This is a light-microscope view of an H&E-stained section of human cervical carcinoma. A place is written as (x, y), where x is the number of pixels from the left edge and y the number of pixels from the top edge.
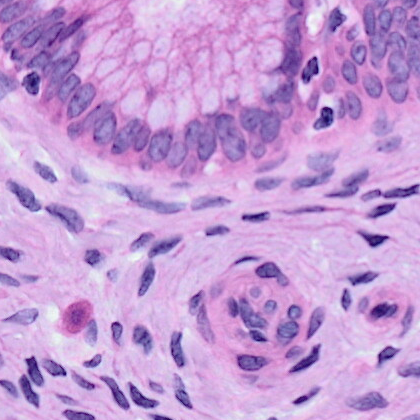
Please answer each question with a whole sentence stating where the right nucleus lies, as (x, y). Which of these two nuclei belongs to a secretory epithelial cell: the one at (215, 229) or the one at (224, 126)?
The nucleus found at (224, 126) belongs to a secretory epithelial cell.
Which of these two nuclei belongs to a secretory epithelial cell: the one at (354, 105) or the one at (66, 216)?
The nucleus of a secretory epithelial cell is the one at (354, 105).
